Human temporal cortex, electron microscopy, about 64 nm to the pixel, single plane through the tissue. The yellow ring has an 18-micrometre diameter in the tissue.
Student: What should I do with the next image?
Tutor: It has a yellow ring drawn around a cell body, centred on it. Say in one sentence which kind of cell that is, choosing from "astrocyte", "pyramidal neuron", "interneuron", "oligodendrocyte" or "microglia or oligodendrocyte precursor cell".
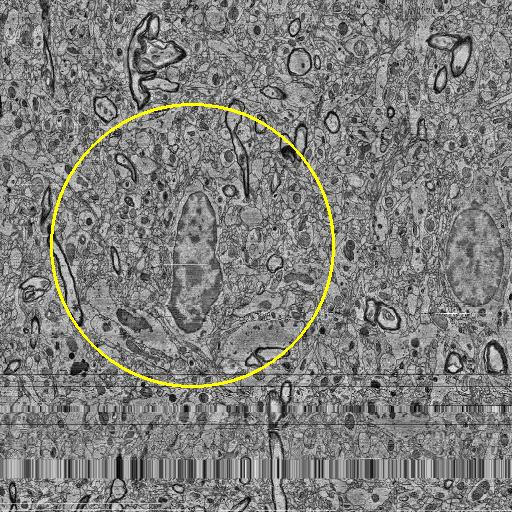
The ring's centre is occupied by a microglial cell or oligodendrocyte precursor cell.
